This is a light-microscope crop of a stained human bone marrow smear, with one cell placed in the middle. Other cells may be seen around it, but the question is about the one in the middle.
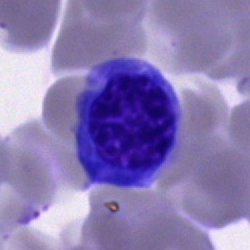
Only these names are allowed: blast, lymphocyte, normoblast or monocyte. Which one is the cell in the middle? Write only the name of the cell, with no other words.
normoblast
